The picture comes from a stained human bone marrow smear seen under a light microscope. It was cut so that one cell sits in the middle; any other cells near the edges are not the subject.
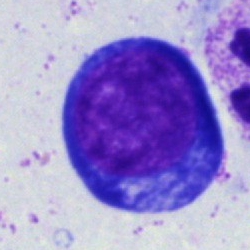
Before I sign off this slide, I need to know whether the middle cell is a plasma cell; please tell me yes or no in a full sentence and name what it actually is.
No, the central cell is counted as a proerythroblast instead of a plasma cell.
